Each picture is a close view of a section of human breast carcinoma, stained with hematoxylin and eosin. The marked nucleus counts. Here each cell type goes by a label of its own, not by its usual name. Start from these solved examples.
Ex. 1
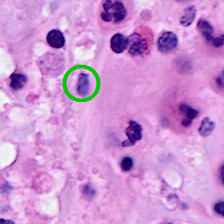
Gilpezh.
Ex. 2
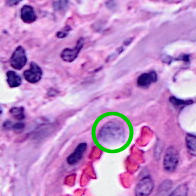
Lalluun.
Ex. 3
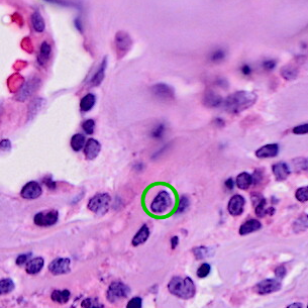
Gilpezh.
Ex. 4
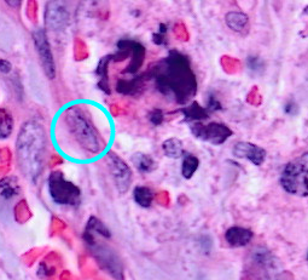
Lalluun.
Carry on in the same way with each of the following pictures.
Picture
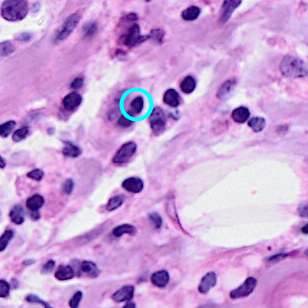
Gilpezh.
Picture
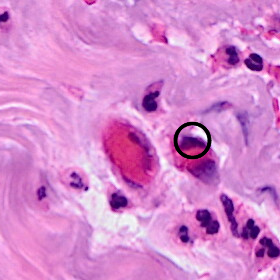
Lalluun.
